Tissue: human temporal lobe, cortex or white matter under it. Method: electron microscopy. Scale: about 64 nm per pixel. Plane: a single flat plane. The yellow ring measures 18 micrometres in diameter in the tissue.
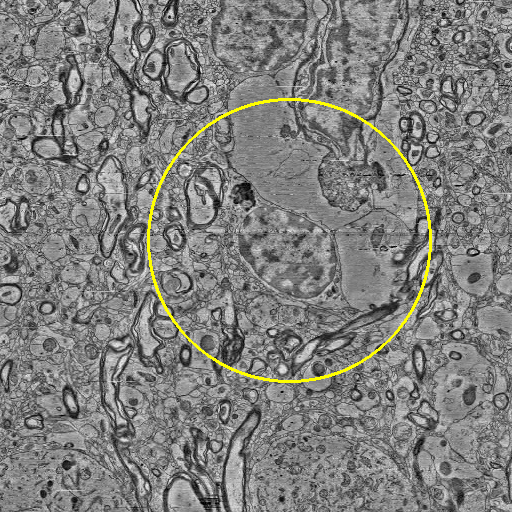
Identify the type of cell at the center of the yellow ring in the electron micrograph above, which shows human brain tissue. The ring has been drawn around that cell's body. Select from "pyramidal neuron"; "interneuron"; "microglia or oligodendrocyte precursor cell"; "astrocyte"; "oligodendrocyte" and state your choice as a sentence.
The yellow ring is centered on the body of a microglial cell or oligodendrocyte precursor cell.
